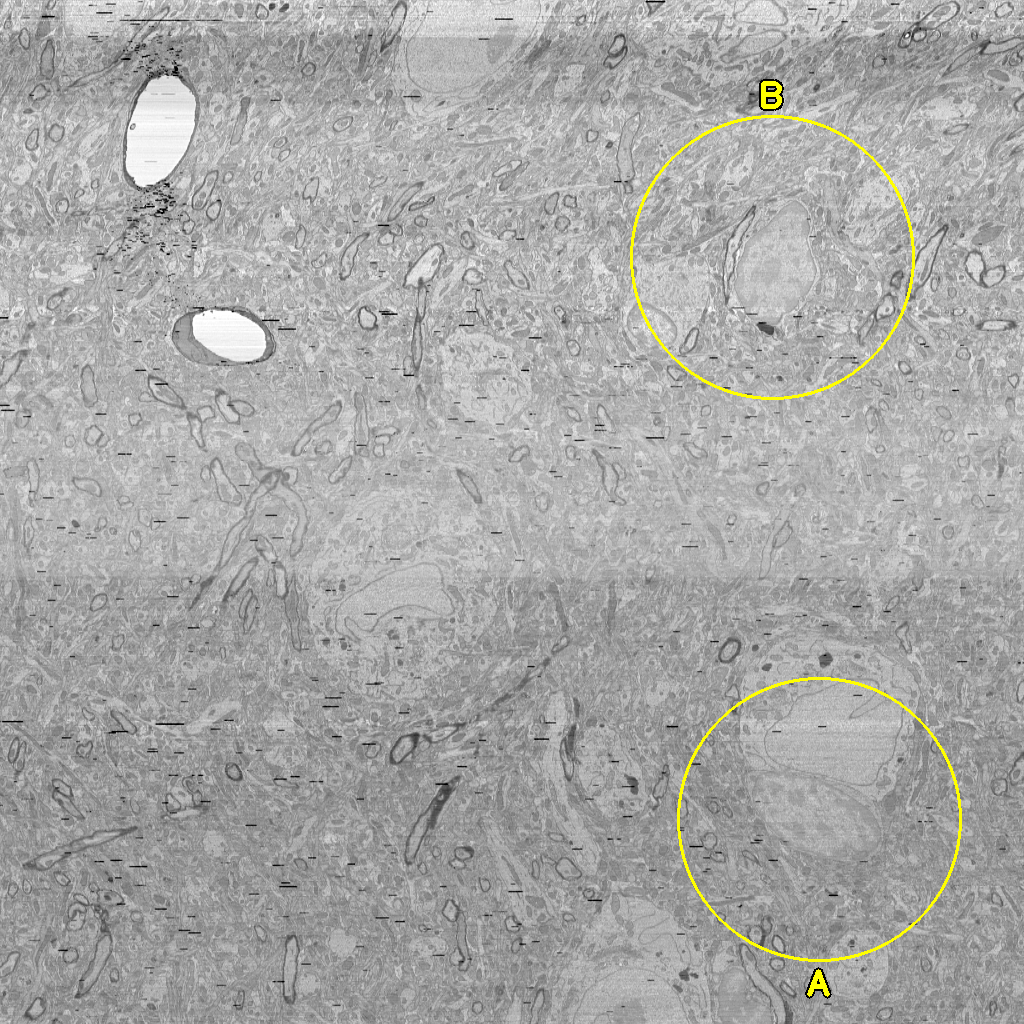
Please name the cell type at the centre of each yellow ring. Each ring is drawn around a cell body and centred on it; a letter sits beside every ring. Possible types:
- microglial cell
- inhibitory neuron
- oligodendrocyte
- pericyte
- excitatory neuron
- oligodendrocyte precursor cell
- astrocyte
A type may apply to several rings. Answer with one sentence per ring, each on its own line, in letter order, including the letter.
Ring A is centred on the cell body of an oligodendrocyte.
Ring B is centred on the cell body of a microglial cell.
